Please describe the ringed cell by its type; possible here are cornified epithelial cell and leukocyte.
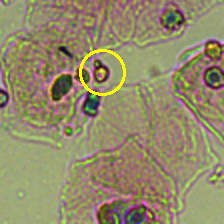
The yellow ring marks a leukocyte.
